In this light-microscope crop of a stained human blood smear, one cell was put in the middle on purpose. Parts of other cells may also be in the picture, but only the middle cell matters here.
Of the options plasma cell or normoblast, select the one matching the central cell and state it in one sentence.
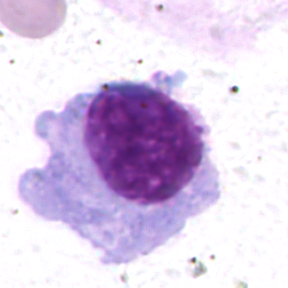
The cell marked by its central position in the crop is a plasma cell.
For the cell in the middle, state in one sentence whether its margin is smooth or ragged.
Its outline is ragged or drawn out into projections, not smooth.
